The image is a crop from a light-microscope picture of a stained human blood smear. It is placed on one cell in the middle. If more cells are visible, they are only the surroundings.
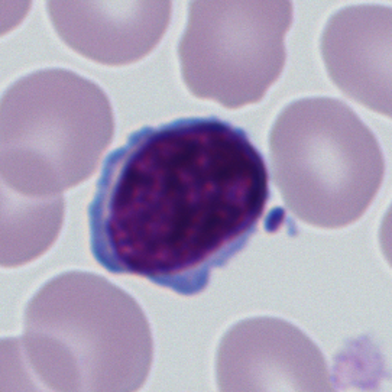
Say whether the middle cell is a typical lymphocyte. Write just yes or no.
yes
